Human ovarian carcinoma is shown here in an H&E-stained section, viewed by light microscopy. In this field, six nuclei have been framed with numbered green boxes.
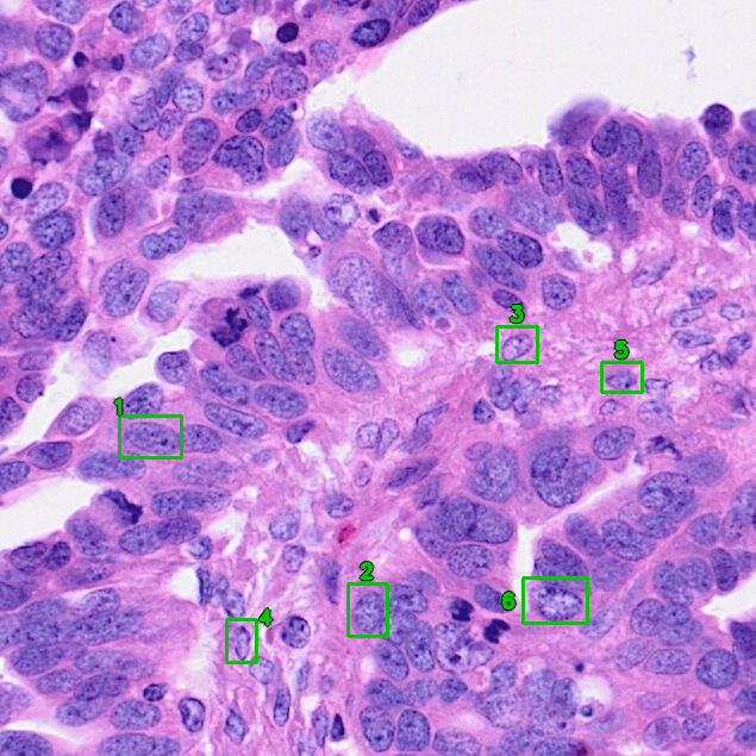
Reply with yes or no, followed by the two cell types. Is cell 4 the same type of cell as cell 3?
Yes, cells 4 and 3 are fibroblasts, the two of them alike.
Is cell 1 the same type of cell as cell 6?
Yes, the two cells, 1 and 6, are both carcinoma cells.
